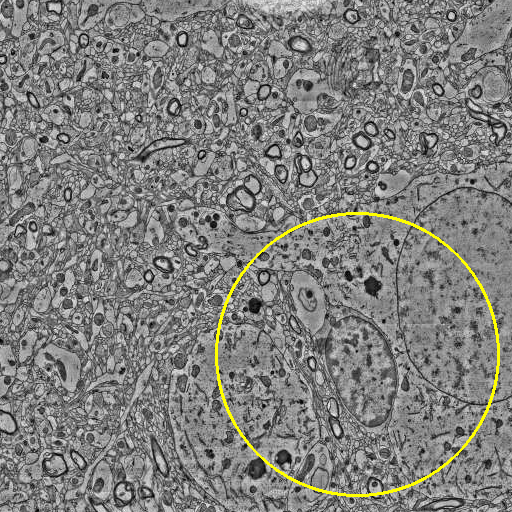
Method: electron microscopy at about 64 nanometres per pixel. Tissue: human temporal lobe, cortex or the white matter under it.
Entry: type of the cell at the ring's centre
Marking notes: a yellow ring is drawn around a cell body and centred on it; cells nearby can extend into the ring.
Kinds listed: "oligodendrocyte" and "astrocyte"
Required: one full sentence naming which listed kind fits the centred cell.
My entry names an oligodendrocyte as the cell whose body the yellow ring centres on.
